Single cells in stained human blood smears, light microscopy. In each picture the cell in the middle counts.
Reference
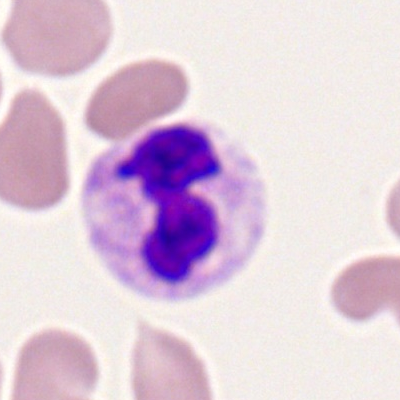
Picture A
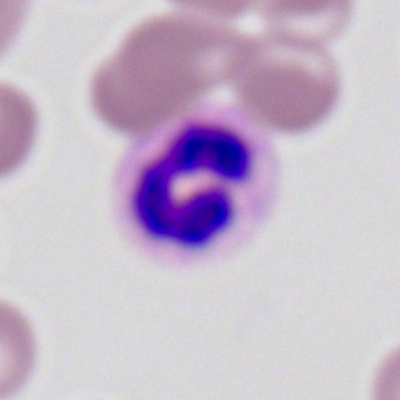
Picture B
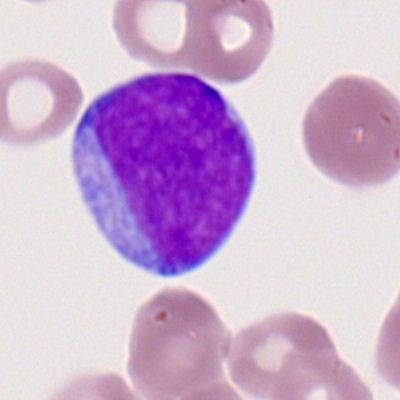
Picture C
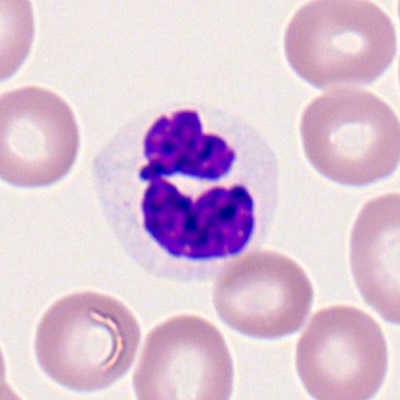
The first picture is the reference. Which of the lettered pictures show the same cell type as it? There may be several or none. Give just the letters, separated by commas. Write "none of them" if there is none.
A, C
